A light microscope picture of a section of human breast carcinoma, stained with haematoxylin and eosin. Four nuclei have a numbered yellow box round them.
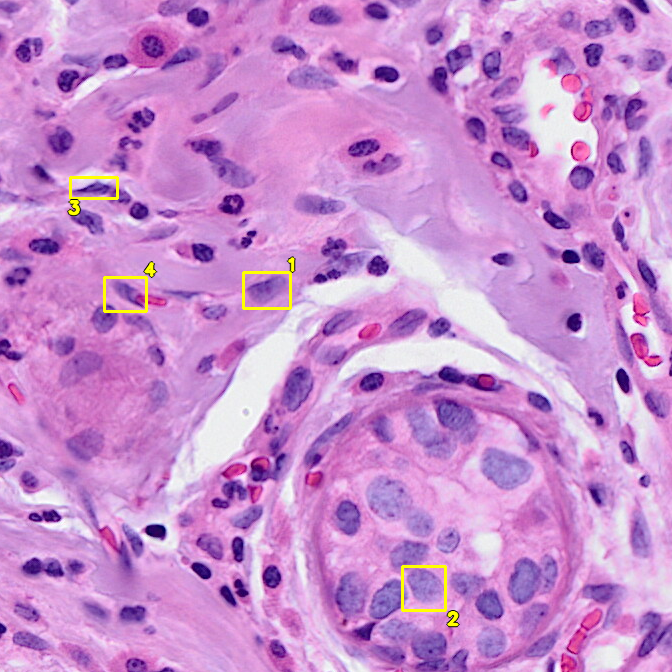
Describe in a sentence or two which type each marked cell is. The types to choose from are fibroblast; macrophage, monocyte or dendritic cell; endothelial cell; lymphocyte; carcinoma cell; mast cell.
Cell 1 is a fibroblast, cell 2 is a carcinoma cell, cell 3 is a fibroblast and cell 4 is an endothelial cell.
